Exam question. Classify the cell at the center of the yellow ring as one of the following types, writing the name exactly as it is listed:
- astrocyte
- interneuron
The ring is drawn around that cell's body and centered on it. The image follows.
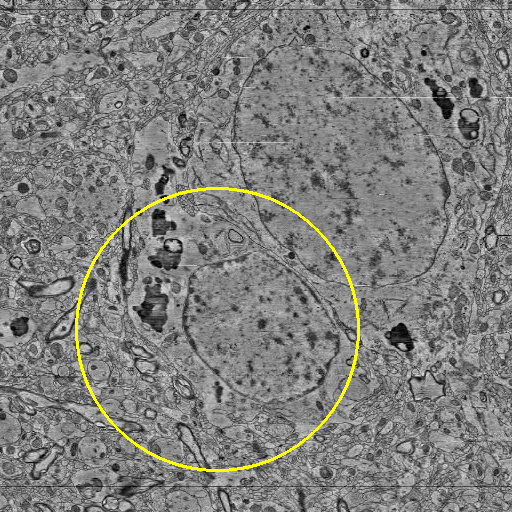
astrocyte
